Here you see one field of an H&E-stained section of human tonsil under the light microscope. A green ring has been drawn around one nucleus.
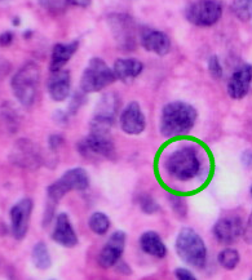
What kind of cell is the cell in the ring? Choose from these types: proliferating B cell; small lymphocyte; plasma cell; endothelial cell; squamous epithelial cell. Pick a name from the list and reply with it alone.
proliferating B cell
